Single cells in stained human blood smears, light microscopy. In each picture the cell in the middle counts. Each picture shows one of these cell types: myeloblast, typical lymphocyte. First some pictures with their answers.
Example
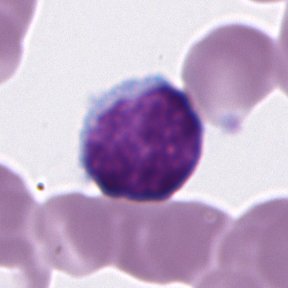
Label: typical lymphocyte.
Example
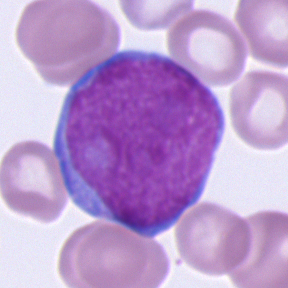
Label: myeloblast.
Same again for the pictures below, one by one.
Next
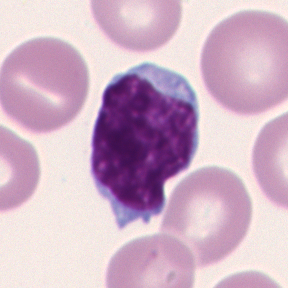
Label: typical lymphocyte.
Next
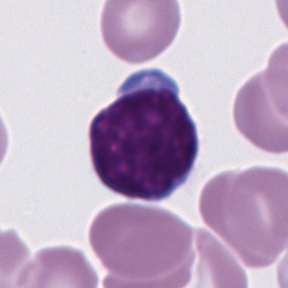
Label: myeloblast.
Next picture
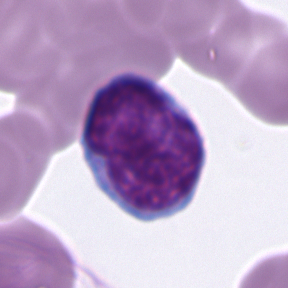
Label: typical lymphocyte.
